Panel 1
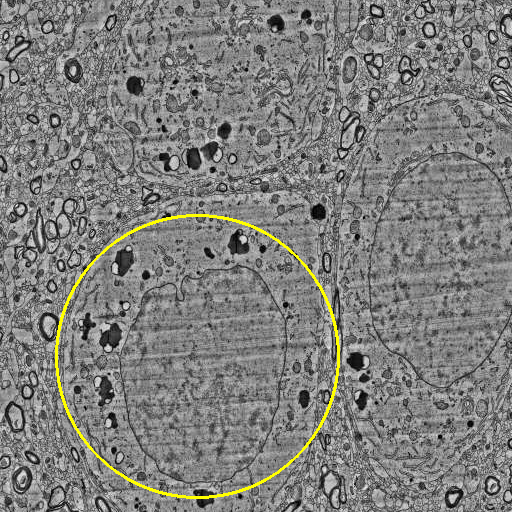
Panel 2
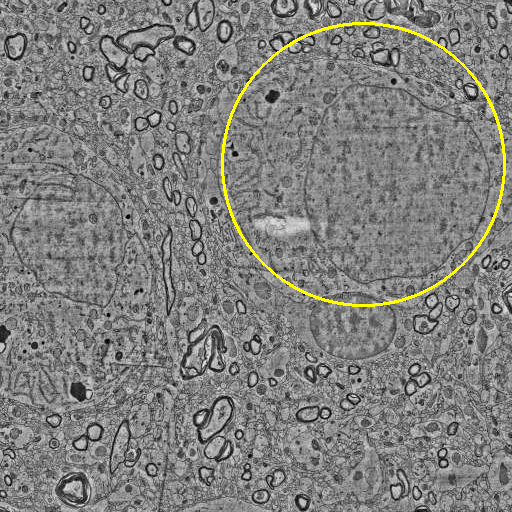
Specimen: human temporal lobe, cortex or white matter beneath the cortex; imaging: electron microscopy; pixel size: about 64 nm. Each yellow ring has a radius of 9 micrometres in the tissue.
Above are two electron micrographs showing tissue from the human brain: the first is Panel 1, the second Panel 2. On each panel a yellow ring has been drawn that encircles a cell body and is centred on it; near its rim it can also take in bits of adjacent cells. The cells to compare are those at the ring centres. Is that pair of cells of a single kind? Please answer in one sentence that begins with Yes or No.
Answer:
Yes, the ring-centred cells of Panel 1 and Panel 2 belong to one kind.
